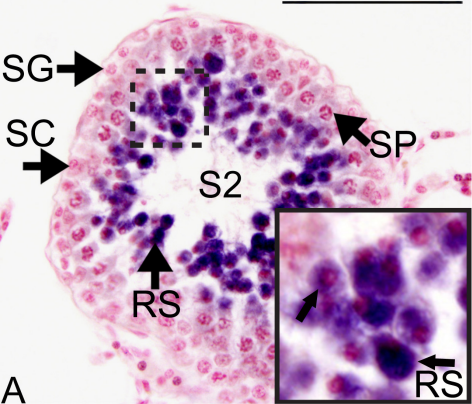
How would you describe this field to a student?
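This is a seminiferous tubule with spermatogonia and Sertoli cells at the periphery, spermatocytes further in, and early round spermatids near the lumen. The outer cells have round nuclei stained pink-red with fine granular chromatin. Inside them lies a broad band of round cells with dark purple-blue staining. In the magnified inset, round cells show purple-blue cytoplasm around rounded nuclei. The lumen in the center is open and mostly empty.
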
